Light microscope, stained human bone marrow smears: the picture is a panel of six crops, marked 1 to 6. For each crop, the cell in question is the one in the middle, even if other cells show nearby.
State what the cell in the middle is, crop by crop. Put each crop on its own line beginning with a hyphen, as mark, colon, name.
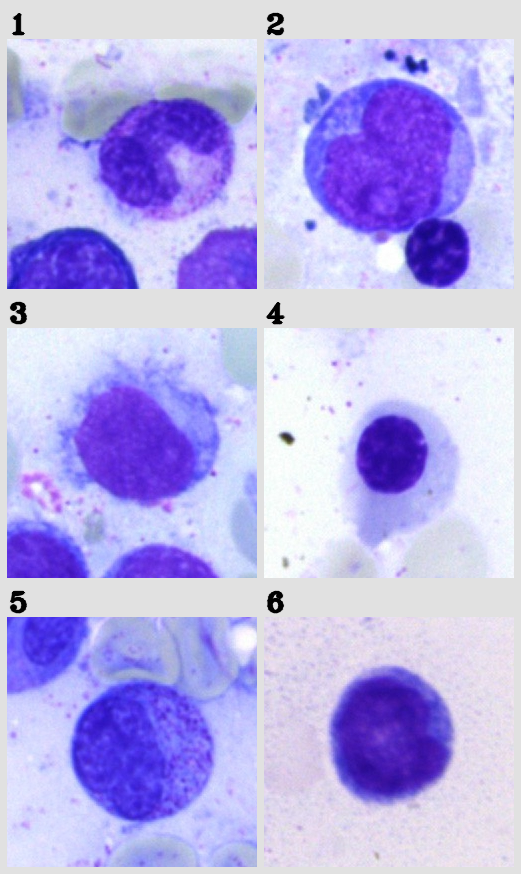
- 1: band neutrophil
- 2: blast
- 3: hairy cell
- 4: erythroblast
- 5: metamyelocyte
- 6: monocyte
